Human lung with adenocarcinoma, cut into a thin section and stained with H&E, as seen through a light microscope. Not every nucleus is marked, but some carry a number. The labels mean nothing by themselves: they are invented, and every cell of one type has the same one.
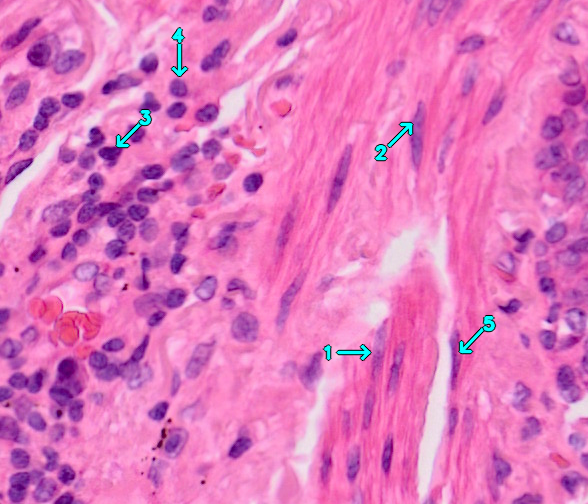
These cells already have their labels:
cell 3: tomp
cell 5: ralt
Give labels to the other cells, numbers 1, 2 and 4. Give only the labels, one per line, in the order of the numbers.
ralt
ralt
tomp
